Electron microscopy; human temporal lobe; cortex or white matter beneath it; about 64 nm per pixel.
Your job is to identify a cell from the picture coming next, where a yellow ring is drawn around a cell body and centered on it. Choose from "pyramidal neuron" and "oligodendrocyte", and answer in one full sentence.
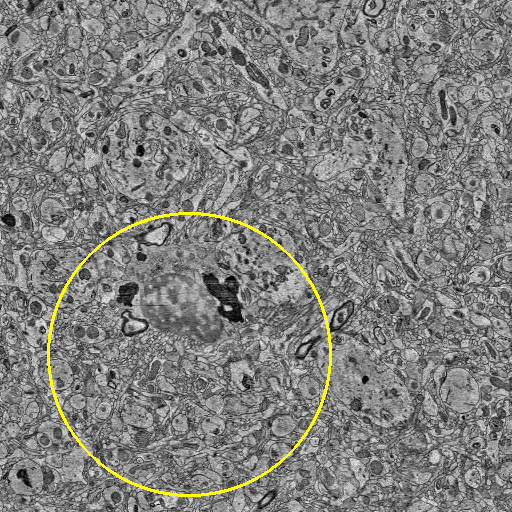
Centered in the yellow ring of the picture is the body of an oligodendrocyte.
